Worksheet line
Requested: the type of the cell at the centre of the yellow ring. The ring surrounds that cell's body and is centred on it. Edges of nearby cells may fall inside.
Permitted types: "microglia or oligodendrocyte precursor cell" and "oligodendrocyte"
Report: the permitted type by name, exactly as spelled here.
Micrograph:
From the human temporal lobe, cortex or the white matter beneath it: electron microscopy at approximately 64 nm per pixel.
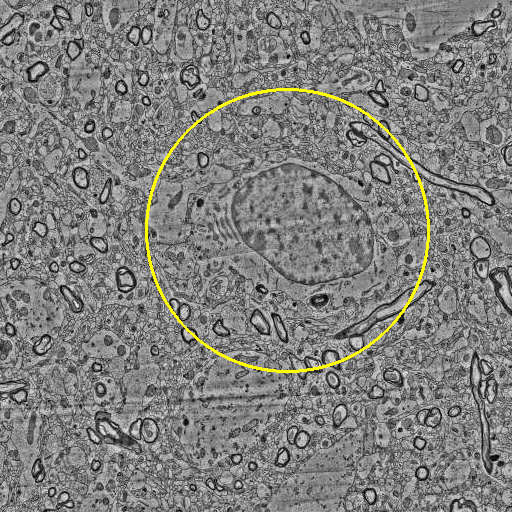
microglia or oligodendrocyte precursor cell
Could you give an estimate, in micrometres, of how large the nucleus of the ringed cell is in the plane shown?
In this plane the nucleus measures roughly 9 by 7 micrometres.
